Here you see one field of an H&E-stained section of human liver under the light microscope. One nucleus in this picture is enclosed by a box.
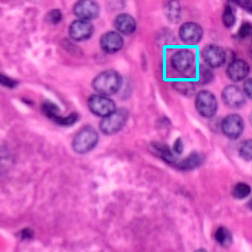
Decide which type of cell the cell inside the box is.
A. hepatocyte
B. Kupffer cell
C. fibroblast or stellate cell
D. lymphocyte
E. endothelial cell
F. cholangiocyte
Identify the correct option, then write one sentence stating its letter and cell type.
The correct option, F, describes the cell inside the box as a cholangiocyte.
